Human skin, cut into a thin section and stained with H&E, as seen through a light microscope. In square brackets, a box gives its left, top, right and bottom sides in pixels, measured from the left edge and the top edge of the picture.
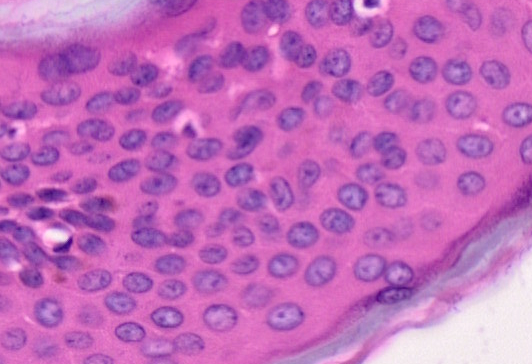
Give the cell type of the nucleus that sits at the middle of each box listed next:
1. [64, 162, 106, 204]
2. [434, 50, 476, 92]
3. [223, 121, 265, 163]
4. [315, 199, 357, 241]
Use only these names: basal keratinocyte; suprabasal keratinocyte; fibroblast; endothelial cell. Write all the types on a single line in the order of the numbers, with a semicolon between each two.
basal keratinocyte; suprabasal keratinocyte; suprabasal keratinocyte; suprabasal keratinocyte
